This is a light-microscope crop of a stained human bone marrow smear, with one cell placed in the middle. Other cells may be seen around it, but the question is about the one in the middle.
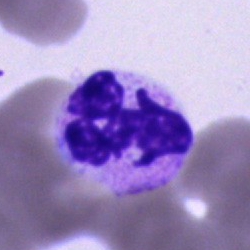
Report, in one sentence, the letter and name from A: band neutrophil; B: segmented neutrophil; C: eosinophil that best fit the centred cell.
In the middle of the crop is a segmented neutrophil; option B is therefore correct.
